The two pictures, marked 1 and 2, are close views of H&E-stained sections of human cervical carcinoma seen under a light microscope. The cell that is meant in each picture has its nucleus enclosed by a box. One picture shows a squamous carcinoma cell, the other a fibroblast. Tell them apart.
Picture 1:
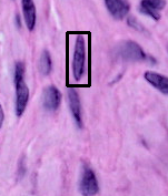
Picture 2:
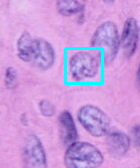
1: fibroblast
2: squamous carcinoma cell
